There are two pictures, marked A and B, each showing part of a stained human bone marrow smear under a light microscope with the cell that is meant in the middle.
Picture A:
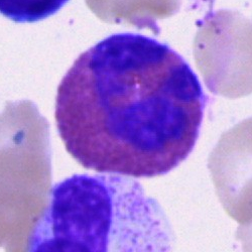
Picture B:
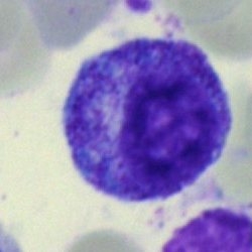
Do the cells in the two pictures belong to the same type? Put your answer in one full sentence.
No; the cell in picture A is an eosinophil, while the one in picture B is a promyelocyte.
